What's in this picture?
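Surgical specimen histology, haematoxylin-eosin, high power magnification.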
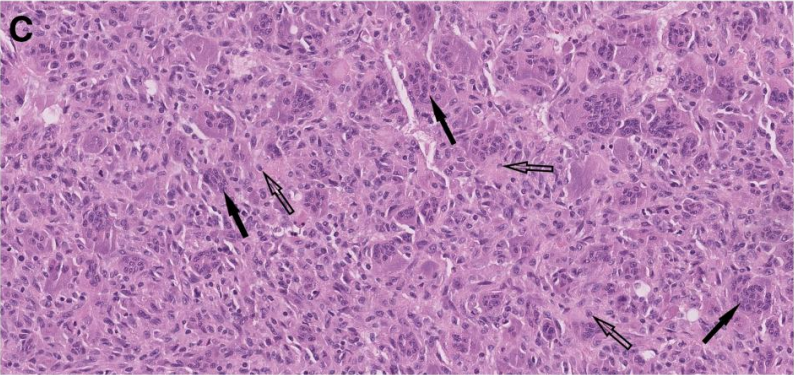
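This is a tumour made of two kinds of cells: large multinucleated giant cells scattered evenly among smaller mononucleated stromal cells. The giant cells have broad pink cytoplasm and hold tight clusters of many small, round to oval nuclei. Between them lie the stromal cells, each with a single oval or spindle-shaped nucleus and a little pale pink cytoplasm. The giant cells are spaced fairly regularly across the field rather than gathered in one spot. A few thin clefts and small clear spaces run through the tissue.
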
